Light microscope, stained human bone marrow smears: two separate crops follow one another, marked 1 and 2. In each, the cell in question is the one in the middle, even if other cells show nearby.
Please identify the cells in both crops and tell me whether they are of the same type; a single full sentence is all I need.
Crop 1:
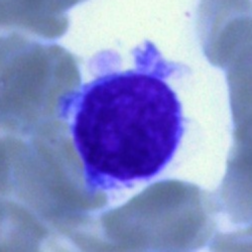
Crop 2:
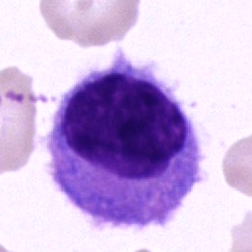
Yes, in both crops the centred cells are hairy cells.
